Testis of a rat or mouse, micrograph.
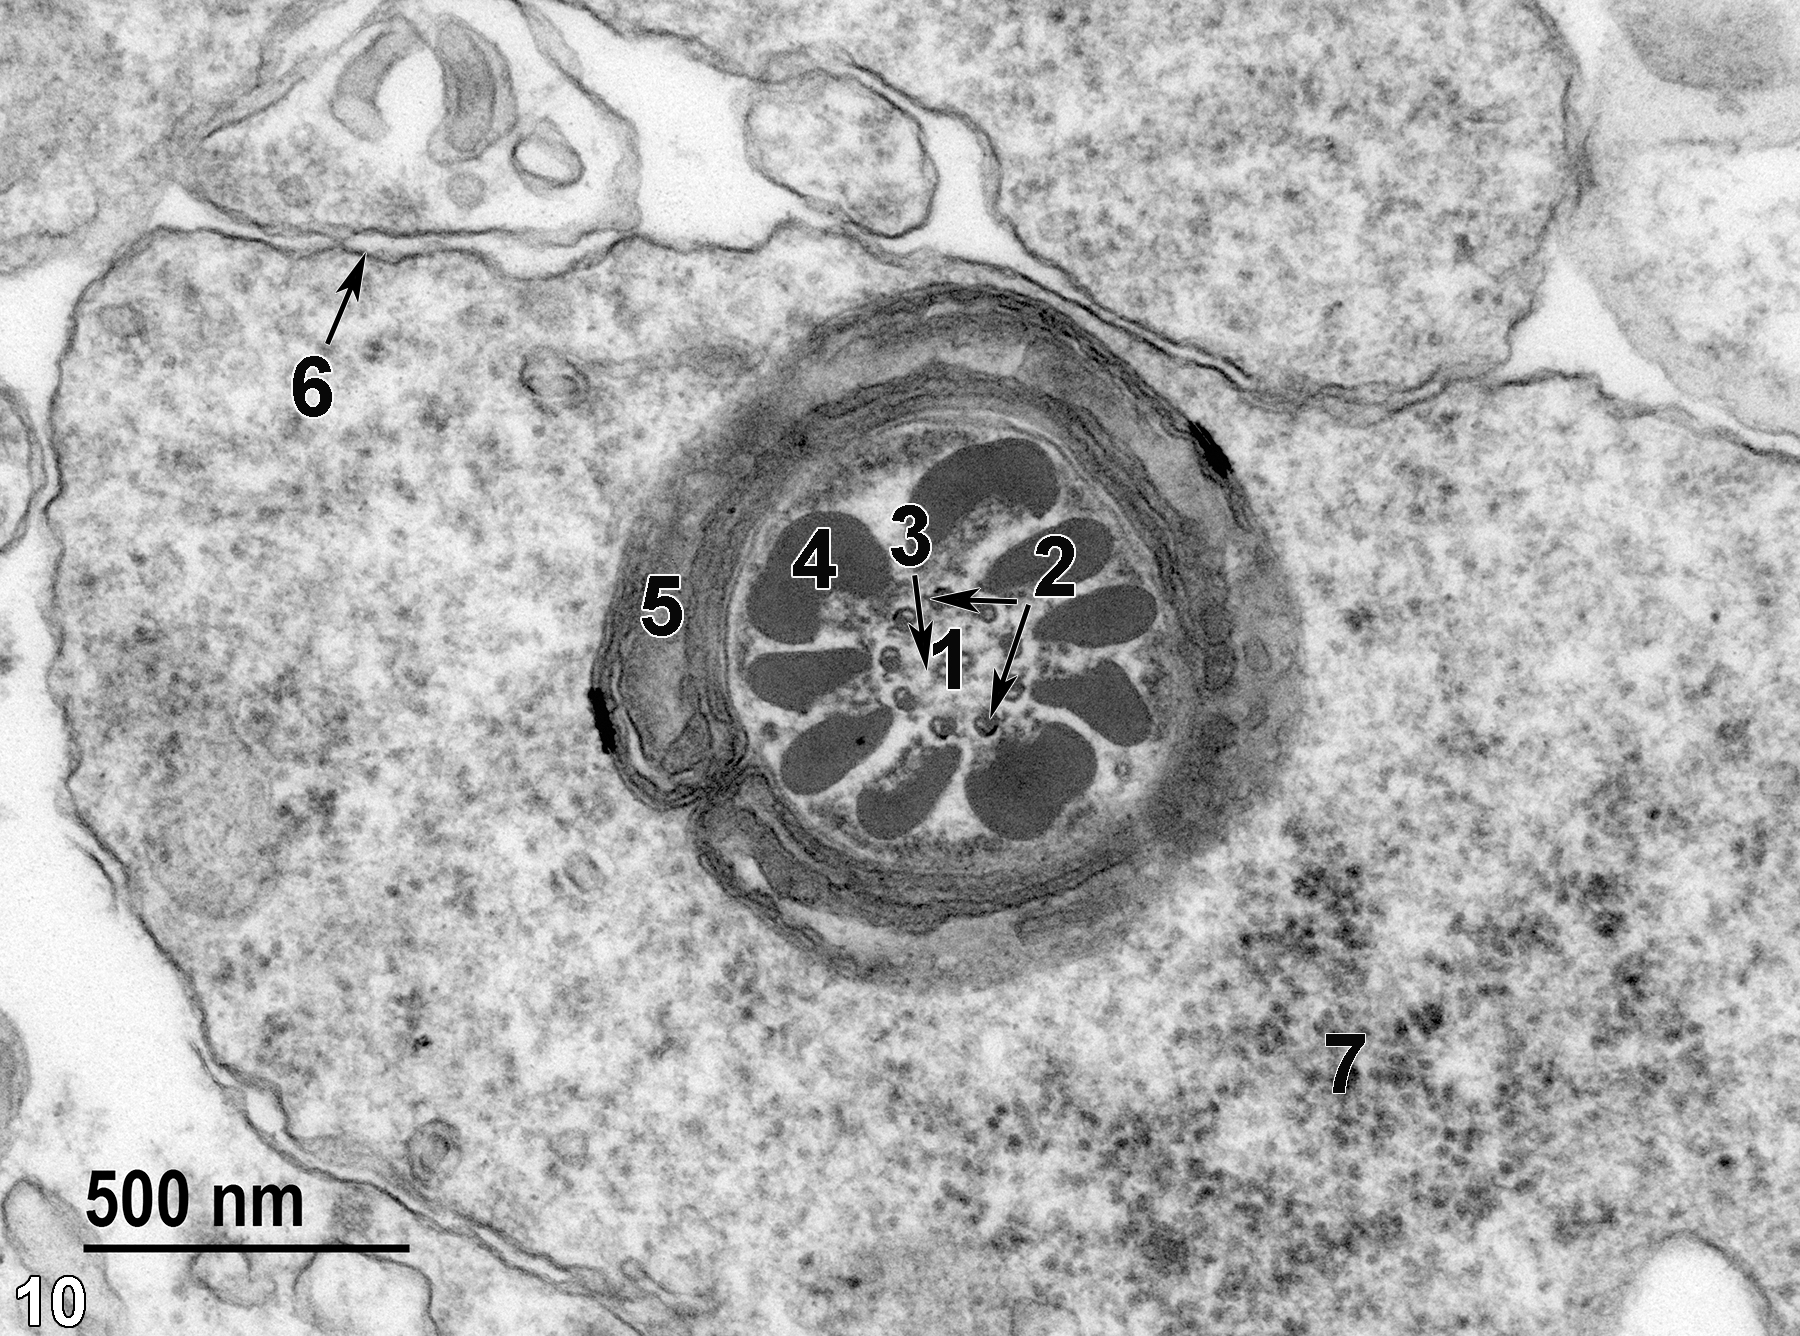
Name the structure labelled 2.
The number 2 marks the doublet microtubules.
